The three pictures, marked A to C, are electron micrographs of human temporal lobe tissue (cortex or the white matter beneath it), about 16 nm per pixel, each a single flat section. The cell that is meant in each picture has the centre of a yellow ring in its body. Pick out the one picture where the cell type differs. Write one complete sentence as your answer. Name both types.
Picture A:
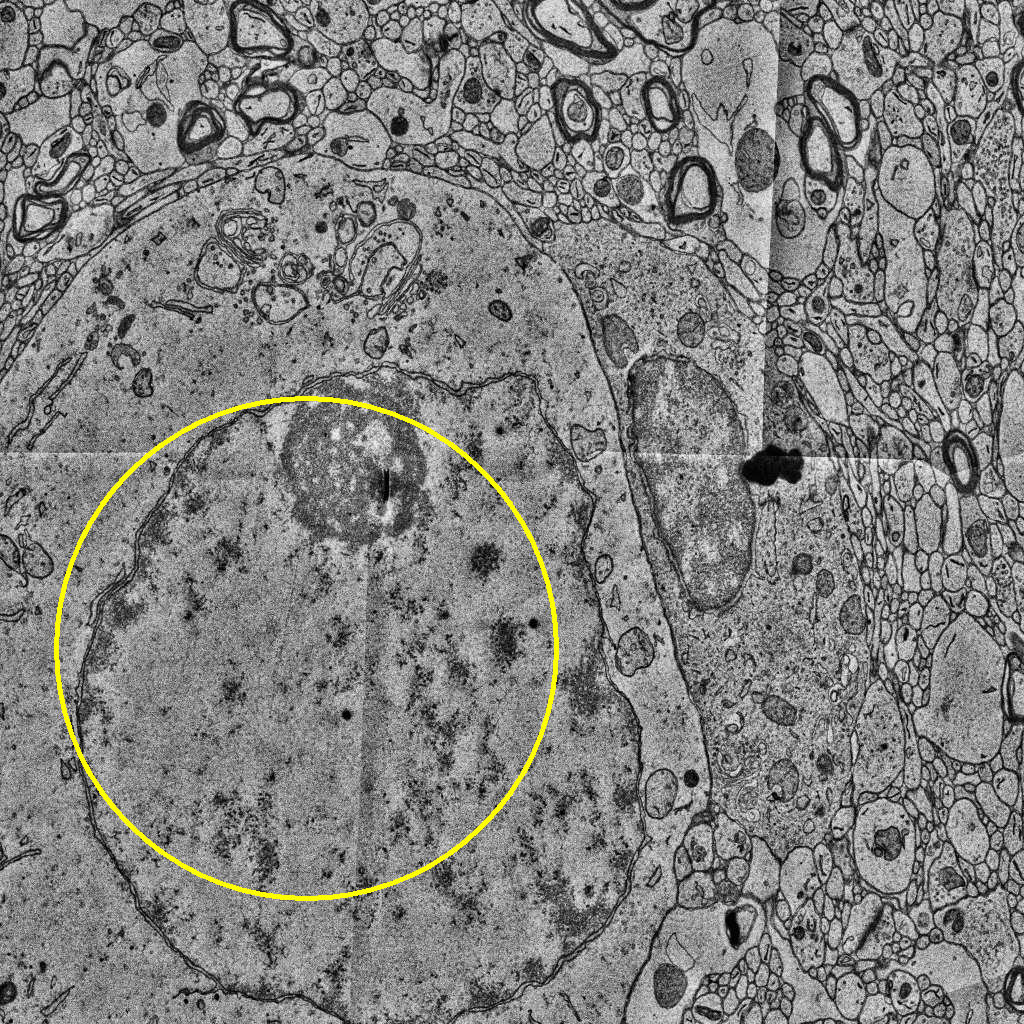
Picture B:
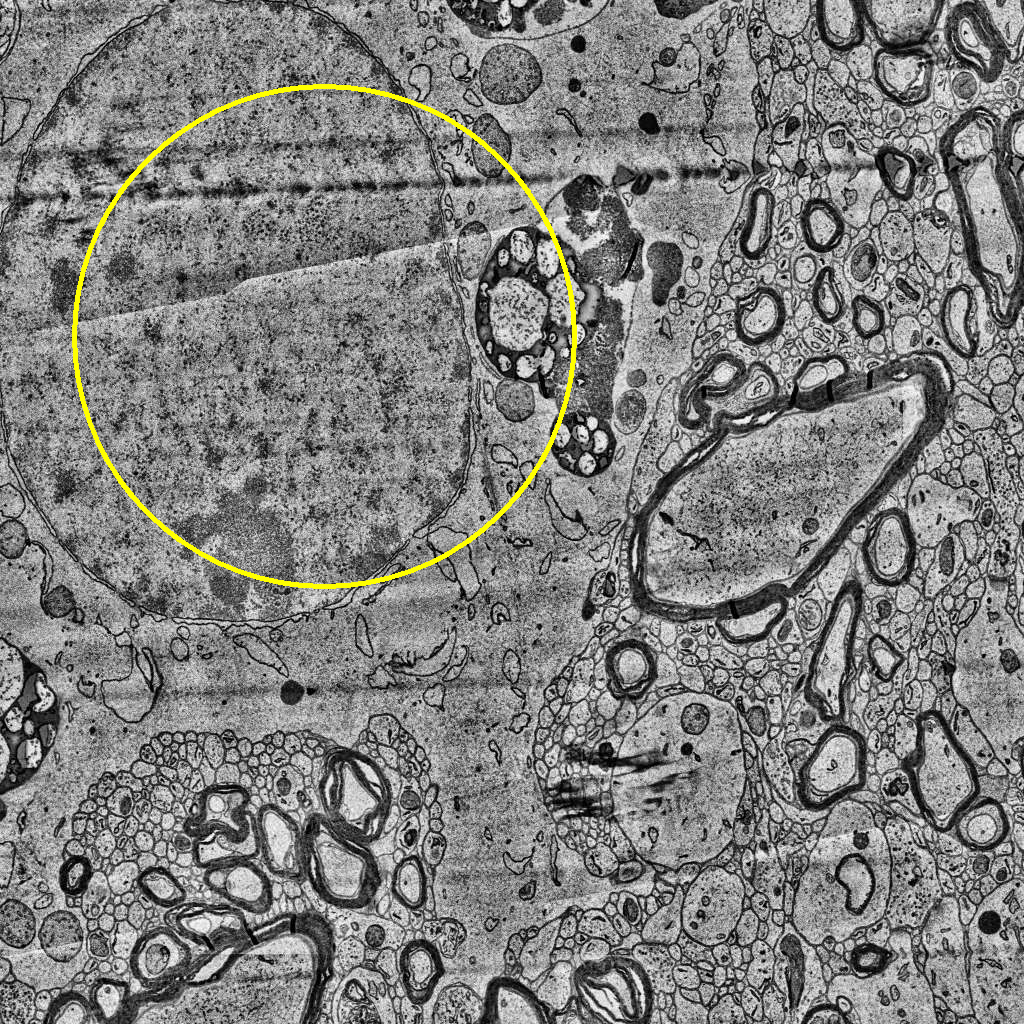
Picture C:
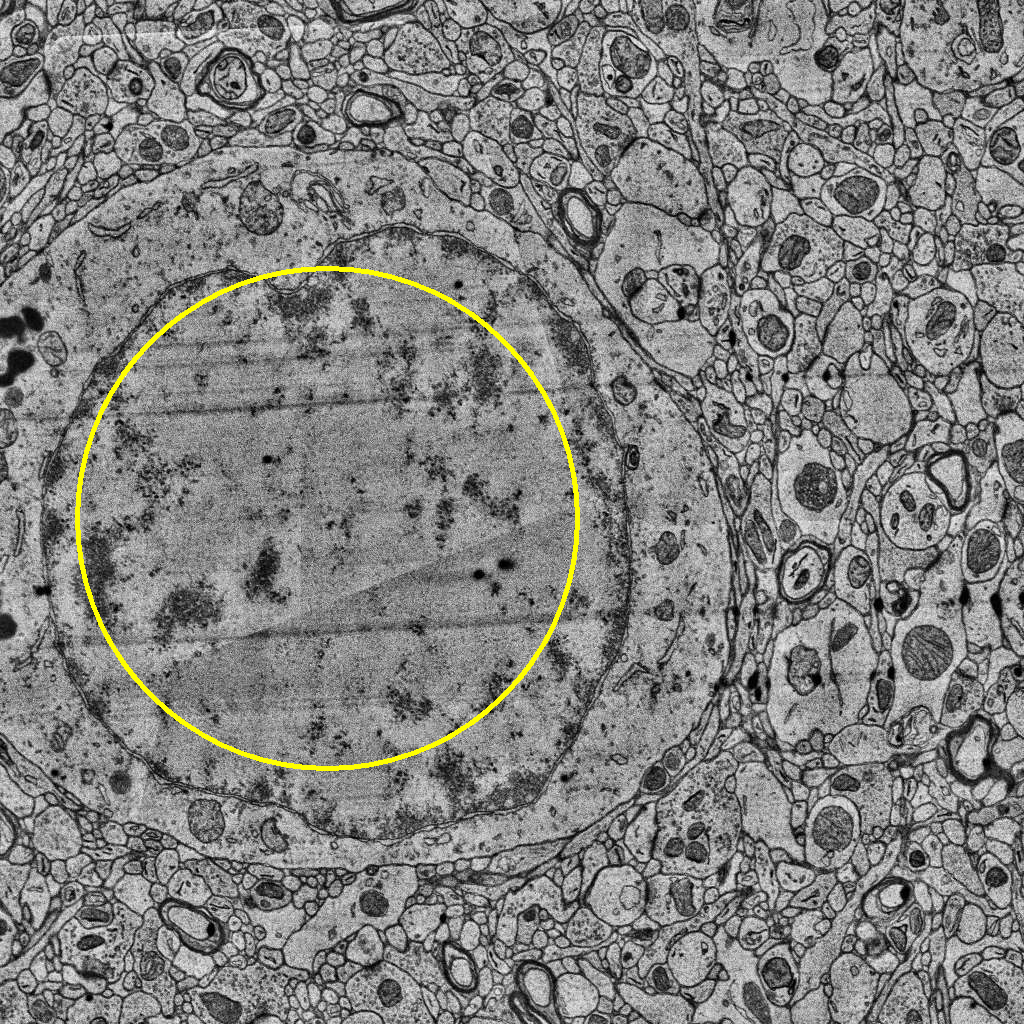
The others show interneurons, but picture B shows an astrocyte.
